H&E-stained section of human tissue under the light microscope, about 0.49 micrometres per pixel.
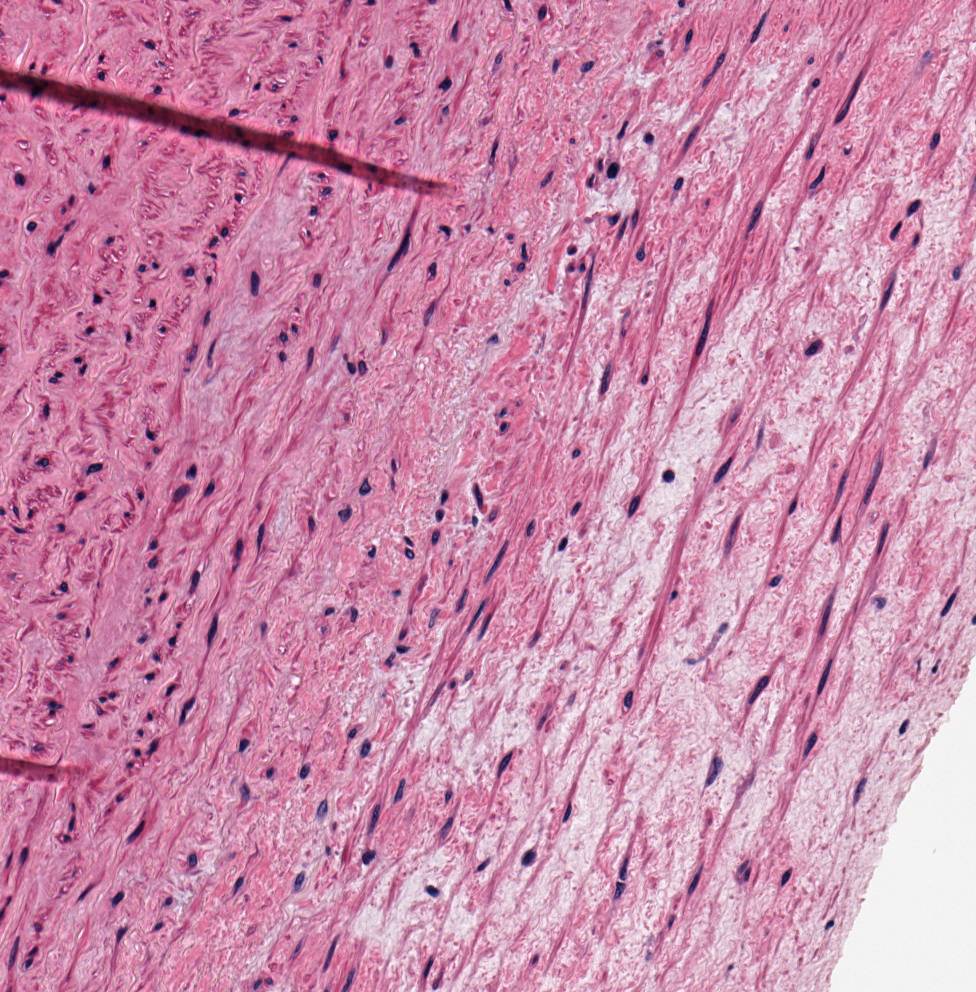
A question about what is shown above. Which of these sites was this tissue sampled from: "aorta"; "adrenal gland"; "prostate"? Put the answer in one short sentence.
The site this tissue was sampled from is the aorta.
